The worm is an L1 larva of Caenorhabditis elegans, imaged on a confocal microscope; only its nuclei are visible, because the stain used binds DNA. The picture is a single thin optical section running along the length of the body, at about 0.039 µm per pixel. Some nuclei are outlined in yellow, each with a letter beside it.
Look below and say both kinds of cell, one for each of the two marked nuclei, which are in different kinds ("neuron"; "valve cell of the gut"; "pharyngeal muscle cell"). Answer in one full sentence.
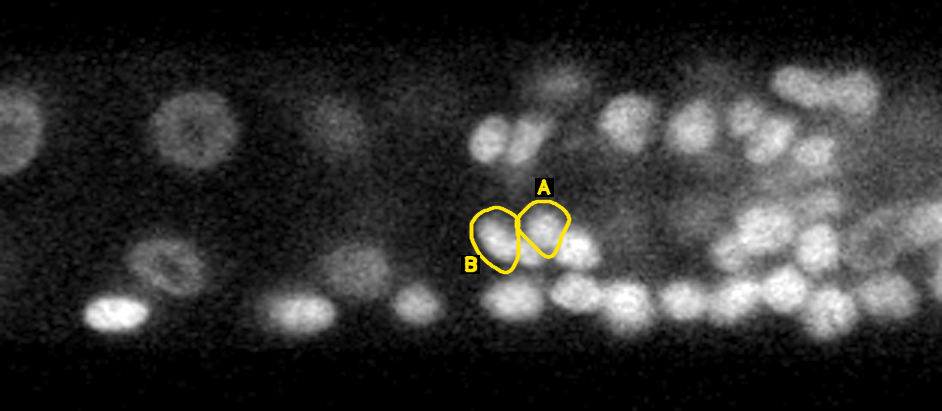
B belongs to a valve cell of the gut, and A to a pharyngeal muscle cell.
